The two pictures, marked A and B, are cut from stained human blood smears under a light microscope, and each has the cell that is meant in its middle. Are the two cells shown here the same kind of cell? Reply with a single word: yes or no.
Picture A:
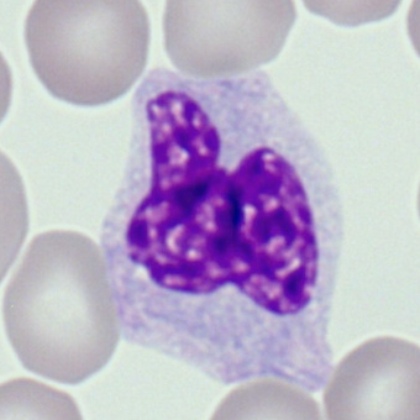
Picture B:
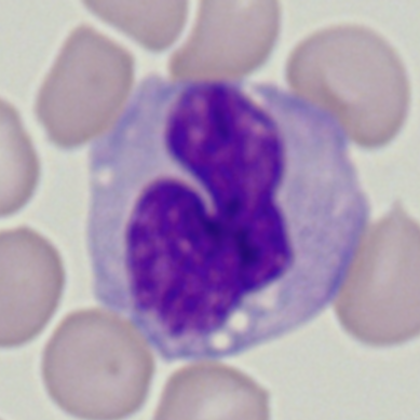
yes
